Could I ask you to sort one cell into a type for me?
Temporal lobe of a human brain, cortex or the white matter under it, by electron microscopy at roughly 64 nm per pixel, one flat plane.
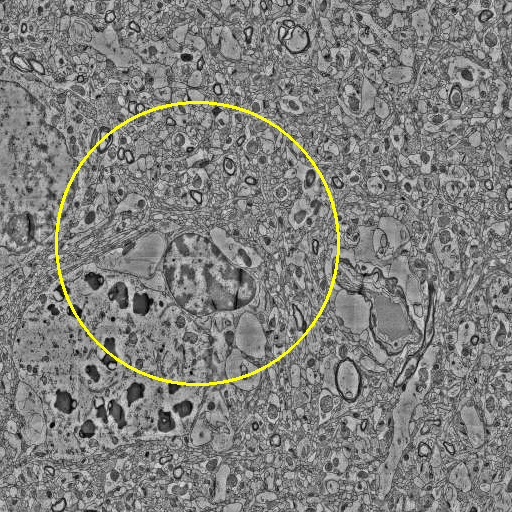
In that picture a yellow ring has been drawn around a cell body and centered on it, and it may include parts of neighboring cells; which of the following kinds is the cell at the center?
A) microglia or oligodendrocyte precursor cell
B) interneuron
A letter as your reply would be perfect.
A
